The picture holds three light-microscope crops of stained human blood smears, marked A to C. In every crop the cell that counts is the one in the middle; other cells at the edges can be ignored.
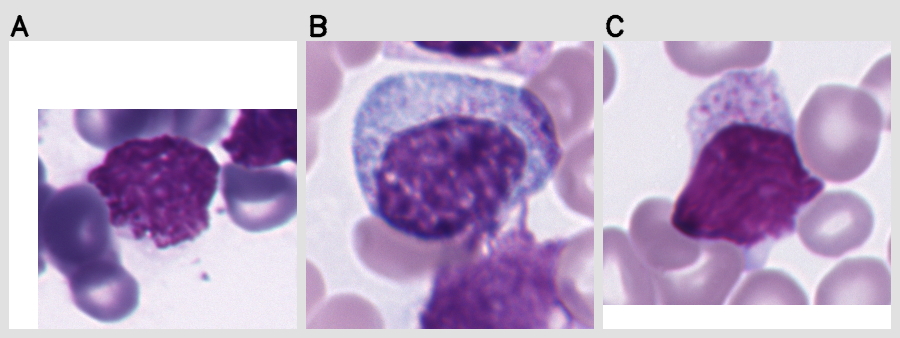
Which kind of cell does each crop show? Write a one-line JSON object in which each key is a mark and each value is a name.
{"A": "smudge cell", "B": "promyelocyte", "C": "large granular lymphocyte"}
